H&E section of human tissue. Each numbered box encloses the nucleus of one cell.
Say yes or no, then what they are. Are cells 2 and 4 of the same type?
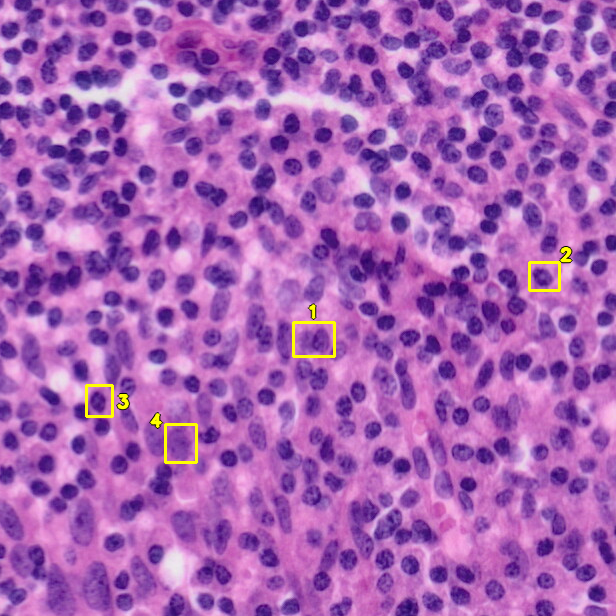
No, cell 2 is a plasma cell and cell 4 is a squamous epithelial cell.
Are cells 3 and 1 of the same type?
No, cell 3 is a plasma cell and cell 1 is a squamous epithelial cell.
